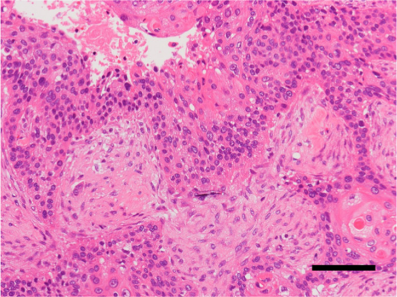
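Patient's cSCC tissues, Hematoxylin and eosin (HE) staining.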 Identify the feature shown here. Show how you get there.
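Dense, glassy bright pink material lies in the centres of the nests. Some pink deposits form concentric whorls. The answer: keratinous materials.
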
